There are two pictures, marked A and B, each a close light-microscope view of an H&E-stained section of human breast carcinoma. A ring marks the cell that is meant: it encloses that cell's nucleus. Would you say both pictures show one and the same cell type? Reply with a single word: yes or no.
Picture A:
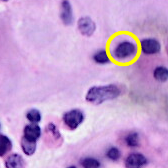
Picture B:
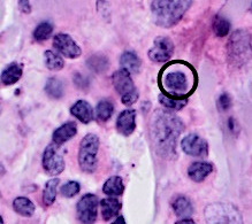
yes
